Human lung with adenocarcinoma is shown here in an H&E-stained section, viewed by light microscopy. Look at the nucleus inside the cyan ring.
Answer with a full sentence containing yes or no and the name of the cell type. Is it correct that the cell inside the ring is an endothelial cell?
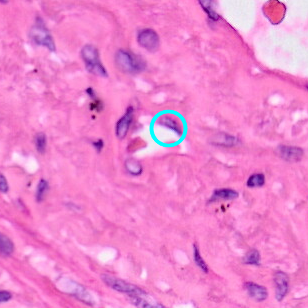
Yes, the cell inside the ring has been identified as an endothelial cell.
